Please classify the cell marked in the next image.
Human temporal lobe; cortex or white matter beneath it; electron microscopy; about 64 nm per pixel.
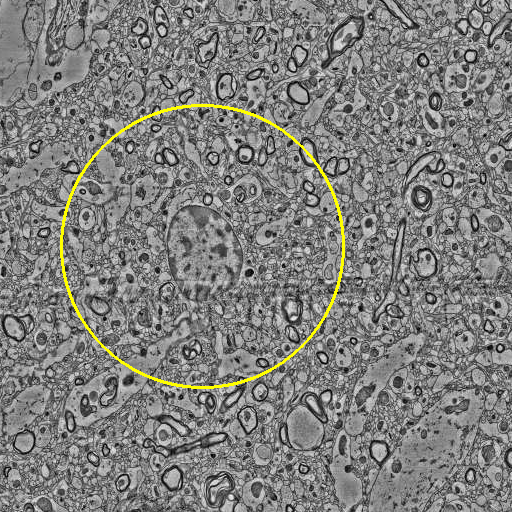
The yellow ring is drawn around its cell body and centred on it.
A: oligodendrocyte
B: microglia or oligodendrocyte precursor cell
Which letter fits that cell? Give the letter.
B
